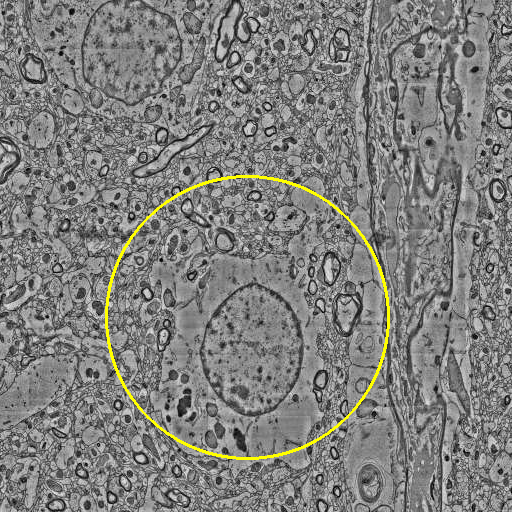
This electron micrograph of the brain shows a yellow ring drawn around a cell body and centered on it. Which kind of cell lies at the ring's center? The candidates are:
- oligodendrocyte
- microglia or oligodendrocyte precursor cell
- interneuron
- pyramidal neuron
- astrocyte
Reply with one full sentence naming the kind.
The cell lying at the ring's center in this micrograph is an astrocyte.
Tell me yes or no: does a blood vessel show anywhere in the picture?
Yes.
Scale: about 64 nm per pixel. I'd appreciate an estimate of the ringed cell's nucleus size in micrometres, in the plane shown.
In this plane, the nucleus is roughly 8 by 6 micrometres.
